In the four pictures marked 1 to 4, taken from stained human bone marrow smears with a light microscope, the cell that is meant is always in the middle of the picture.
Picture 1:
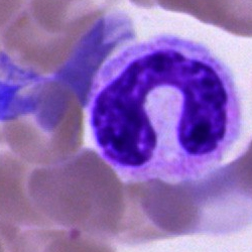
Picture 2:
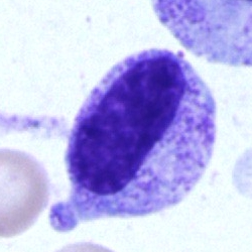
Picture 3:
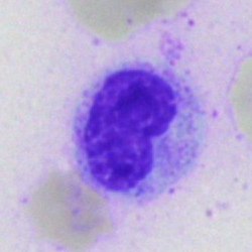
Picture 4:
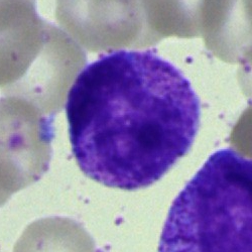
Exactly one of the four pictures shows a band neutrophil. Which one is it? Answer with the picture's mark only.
1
